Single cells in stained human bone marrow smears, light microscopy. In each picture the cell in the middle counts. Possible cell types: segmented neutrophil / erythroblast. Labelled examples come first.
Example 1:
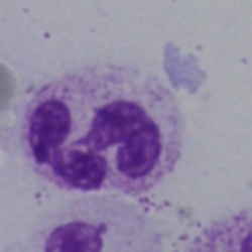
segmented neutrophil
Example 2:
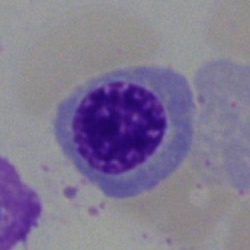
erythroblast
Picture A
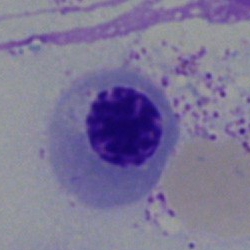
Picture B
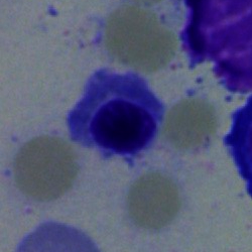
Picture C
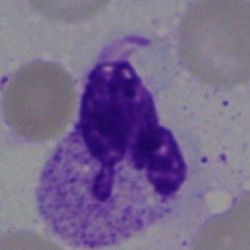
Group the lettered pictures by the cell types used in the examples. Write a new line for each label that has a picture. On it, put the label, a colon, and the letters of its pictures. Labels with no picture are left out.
segmented neutrophil: C
erythroblast: A, B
